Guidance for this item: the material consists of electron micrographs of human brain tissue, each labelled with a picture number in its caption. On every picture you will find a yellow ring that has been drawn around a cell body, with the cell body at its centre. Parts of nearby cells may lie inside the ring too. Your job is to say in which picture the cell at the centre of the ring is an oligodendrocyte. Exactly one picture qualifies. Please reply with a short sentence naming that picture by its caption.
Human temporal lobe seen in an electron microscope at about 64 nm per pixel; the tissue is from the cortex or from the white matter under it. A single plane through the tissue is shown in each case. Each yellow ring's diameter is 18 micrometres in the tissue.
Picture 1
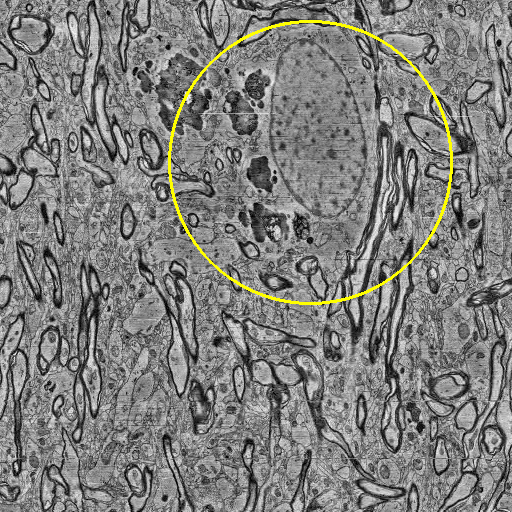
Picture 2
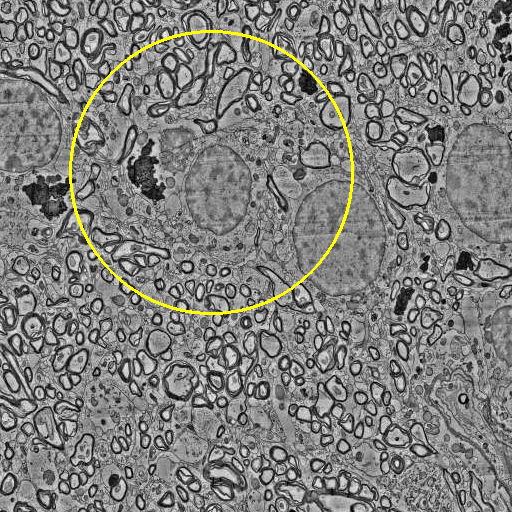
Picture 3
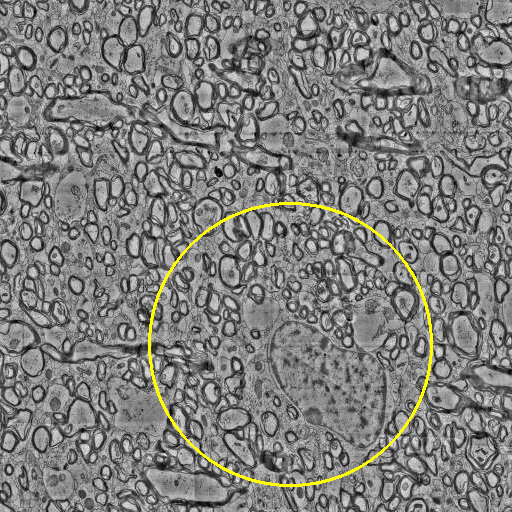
Picture 2 shows it at the centre of the ring.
